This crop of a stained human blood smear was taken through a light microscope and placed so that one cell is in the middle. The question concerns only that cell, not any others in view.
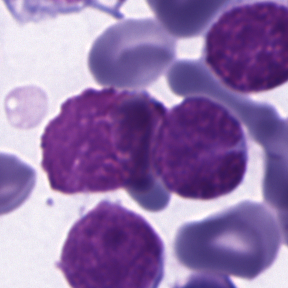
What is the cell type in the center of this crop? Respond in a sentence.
In this crop, the cell at the very middle is a blast.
